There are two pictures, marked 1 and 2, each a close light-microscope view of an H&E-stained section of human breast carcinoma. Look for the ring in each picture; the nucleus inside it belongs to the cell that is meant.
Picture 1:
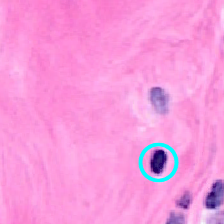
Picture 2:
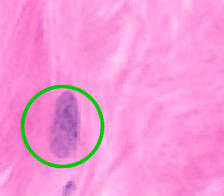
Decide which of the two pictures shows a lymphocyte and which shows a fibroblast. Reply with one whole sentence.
Picture 2 shows a fibroblast, while picture 1 shows a lymphocyte.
